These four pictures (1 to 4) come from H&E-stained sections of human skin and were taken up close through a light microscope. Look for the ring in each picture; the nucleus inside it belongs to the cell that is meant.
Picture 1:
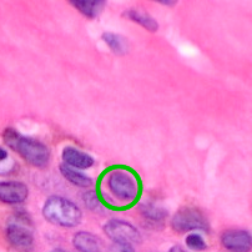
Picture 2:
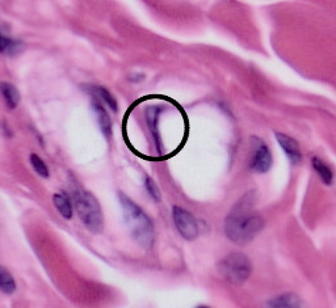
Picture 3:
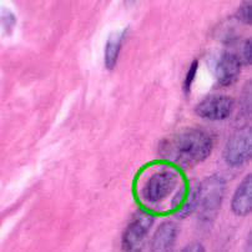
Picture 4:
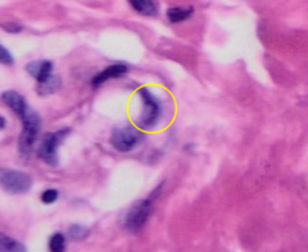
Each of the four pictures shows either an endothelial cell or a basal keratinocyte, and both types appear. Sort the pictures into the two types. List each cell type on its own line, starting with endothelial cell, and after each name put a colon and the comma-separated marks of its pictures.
endothelial cell: 2, 4
basal keratinocyte: 1, 3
